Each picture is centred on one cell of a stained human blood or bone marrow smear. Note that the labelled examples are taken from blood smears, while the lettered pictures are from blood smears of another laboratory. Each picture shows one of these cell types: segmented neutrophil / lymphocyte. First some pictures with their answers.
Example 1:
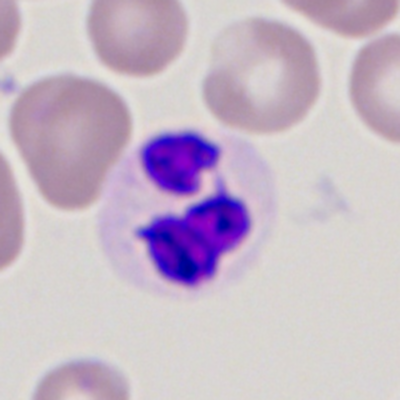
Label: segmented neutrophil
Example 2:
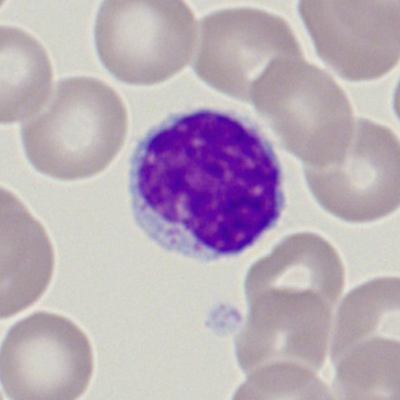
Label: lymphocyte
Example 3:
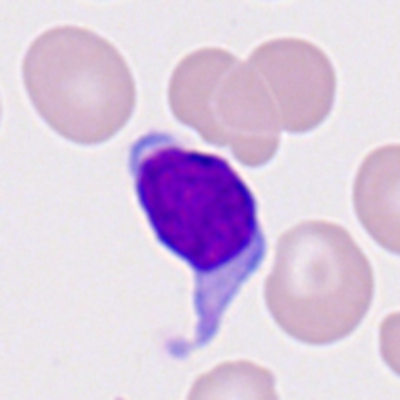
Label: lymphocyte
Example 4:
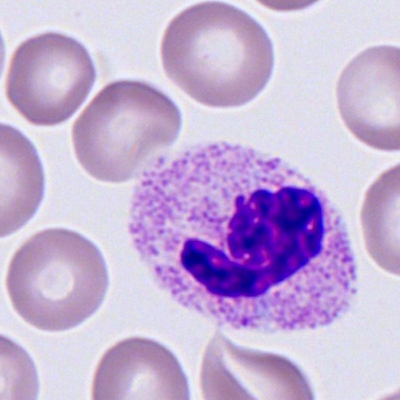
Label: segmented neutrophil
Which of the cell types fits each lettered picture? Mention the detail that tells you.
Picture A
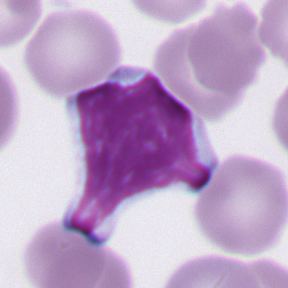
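lymphocyte. The nucleus fills almost the whole cell and follows its angular shape.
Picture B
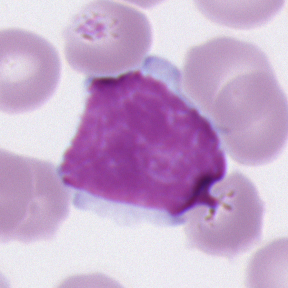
lymphocyte. The cytoplasm shows only as a narrow rim, best seen along the top and bottom edges.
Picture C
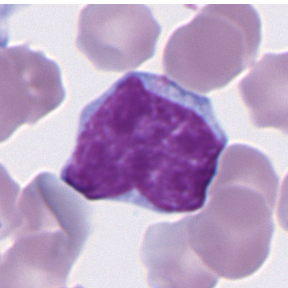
lymphocyte. The nucleus fills almost the whole cell.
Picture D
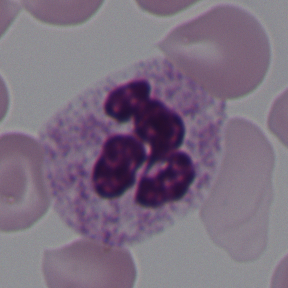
segmented neutrophil. The cytoplasm is abundant and pale.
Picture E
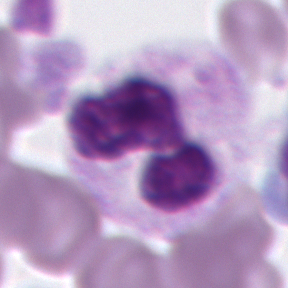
segmented neutrophil. The cytoplasm is plentiful and pale pinkish-lilac.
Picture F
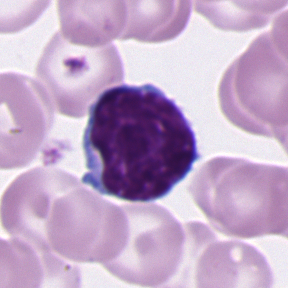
lymphocyte. The cytoplasm forms only a thin rim that is widest on the left side.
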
